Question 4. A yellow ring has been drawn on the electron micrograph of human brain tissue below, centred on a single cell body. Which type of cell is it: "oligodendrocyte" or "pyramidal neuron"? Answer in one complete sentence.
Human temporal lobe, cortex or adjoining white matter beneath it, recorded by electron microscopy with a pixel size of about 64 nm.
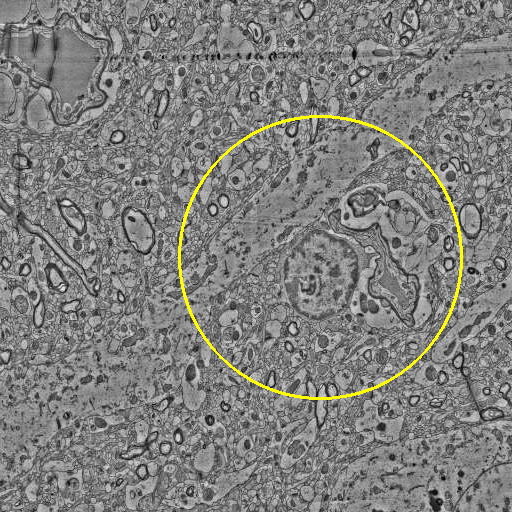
This cell body belongs to an oligodendrocyte.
